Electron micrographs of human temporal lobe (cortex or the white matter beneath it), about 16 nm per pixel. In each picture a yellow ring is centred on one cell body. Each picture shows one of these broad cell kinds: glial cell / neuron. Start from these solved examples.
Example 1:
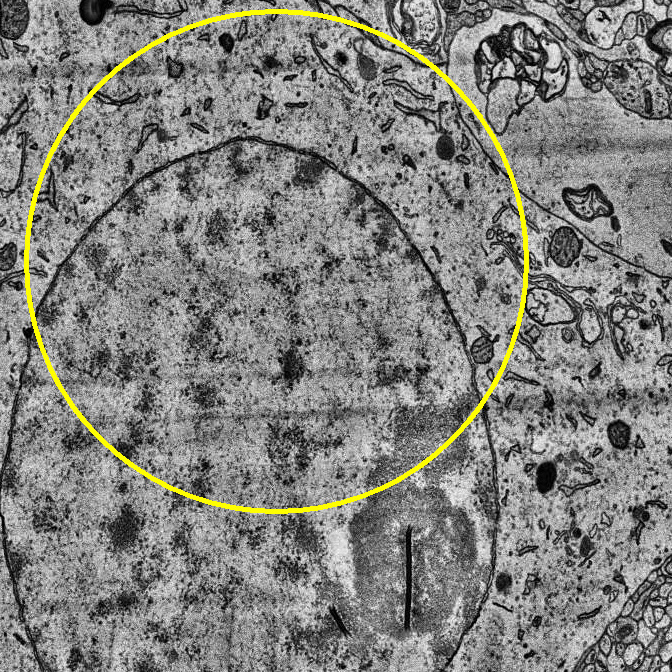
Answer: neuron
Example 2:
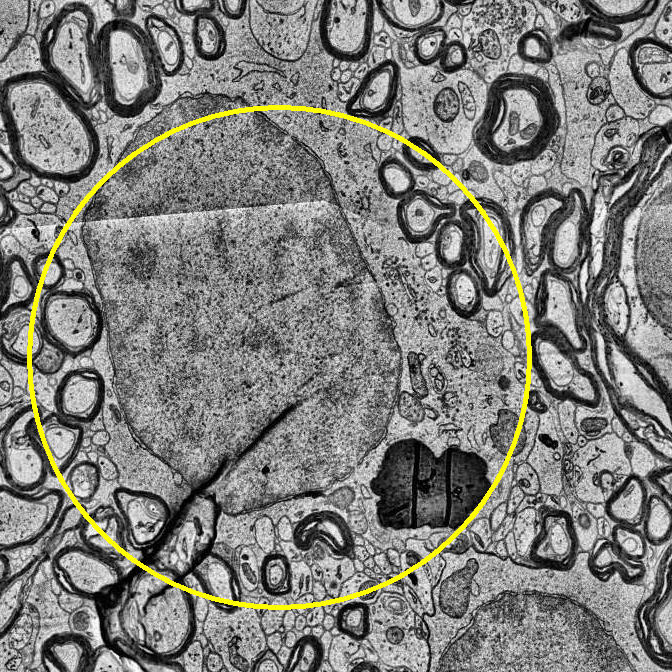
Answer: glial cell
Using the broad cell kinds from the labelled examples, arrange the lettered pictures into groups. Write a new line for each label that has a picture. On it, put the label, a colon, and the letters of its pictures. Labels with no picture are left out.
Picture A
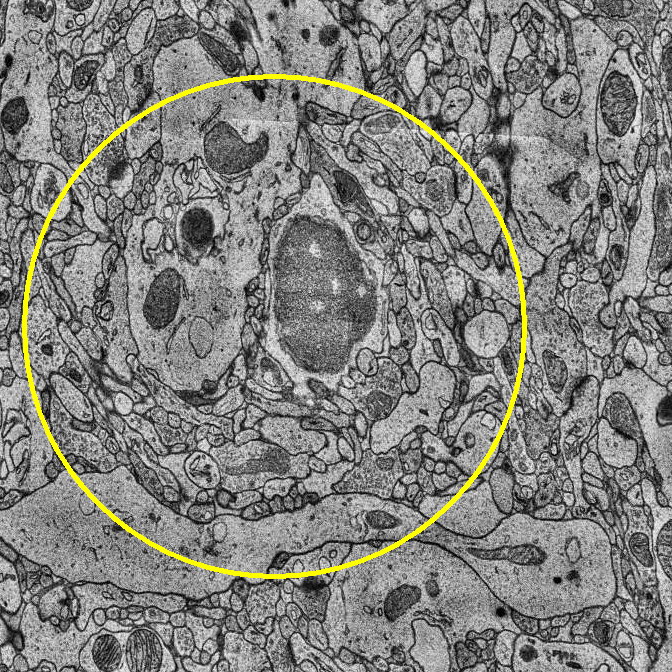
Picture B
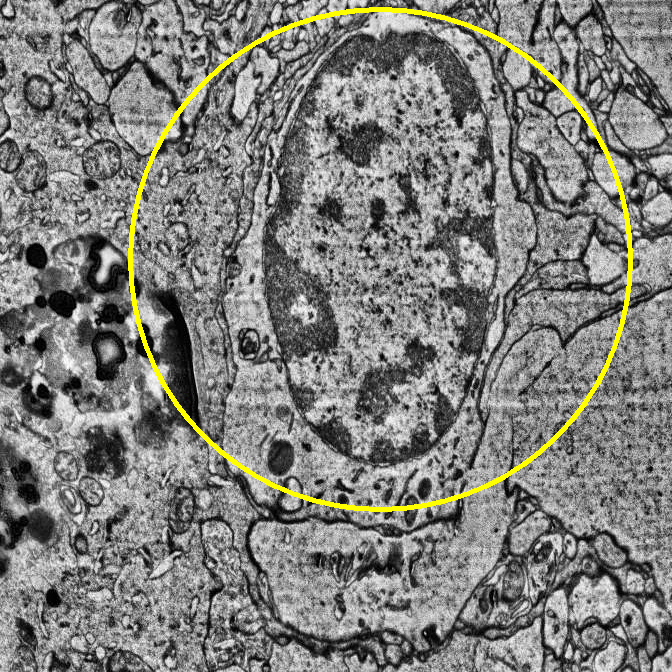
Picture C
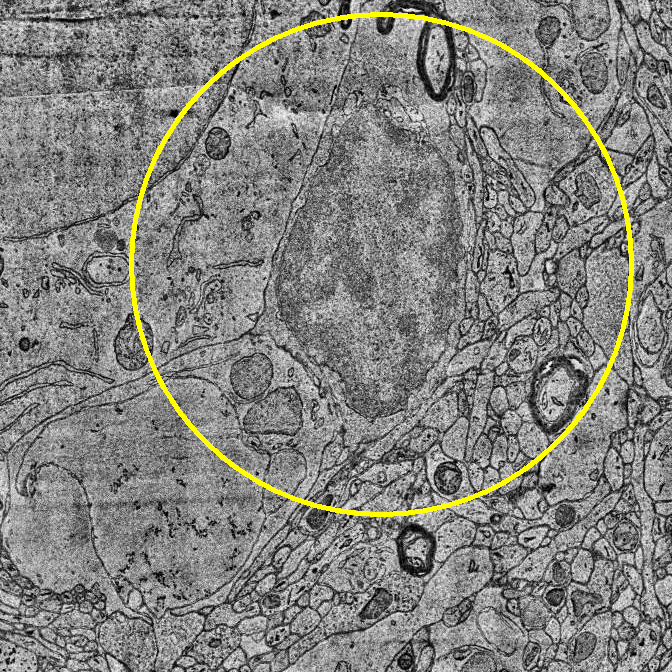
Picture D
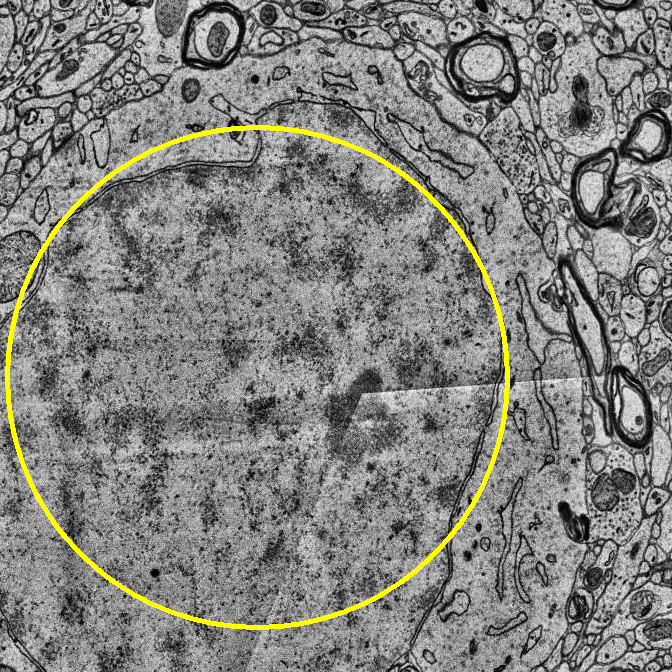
glial cell: A, B, C
neuron: D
